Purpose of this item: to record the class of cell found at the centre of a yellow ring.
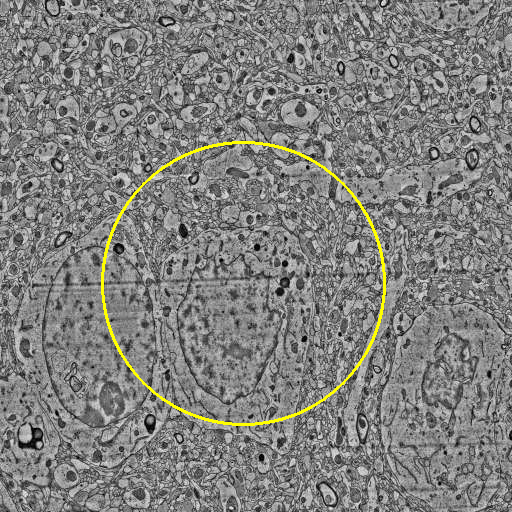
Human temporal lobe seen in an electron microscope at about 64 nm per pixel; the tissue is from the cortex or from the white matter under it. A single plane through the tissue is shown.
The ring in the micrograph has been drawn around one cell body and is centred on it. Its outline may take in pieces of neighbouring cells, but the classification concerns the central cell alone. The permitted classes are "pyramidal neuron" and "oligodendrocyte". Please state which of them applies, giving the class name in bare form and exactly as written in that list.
pyramidal neuron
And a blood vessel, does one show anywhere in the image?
No, there is no blood vessel.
